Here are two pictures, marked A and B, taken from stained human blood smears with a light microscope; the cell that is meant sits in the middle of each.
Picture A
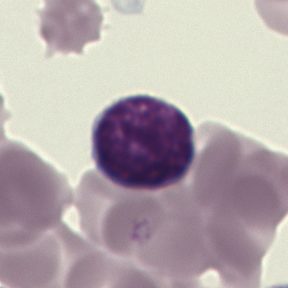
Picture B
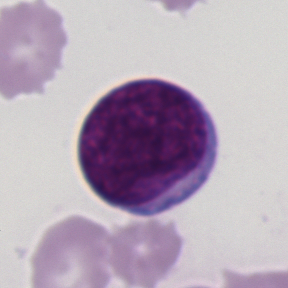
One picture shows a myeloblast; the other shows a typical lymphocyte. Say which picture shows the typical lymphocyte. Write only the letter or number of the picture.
A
